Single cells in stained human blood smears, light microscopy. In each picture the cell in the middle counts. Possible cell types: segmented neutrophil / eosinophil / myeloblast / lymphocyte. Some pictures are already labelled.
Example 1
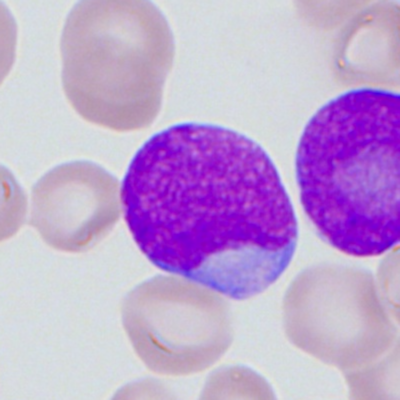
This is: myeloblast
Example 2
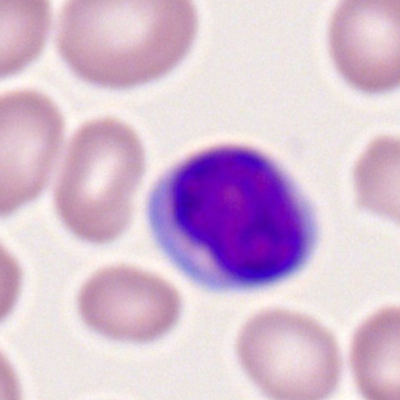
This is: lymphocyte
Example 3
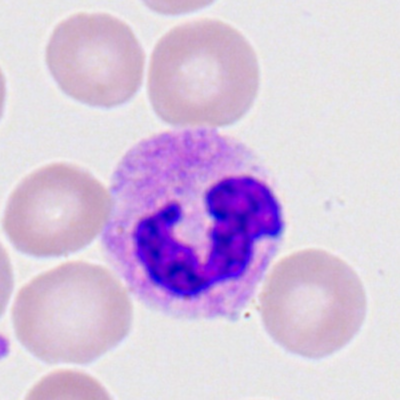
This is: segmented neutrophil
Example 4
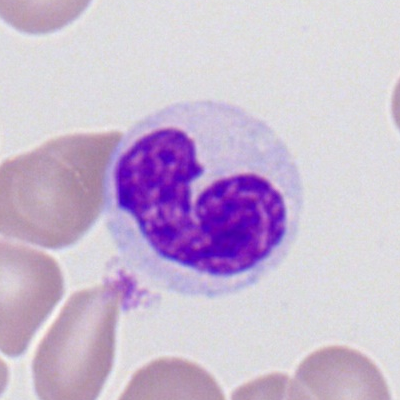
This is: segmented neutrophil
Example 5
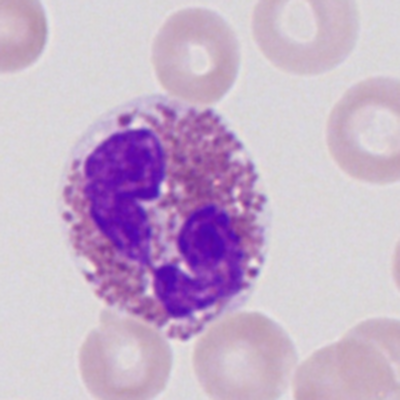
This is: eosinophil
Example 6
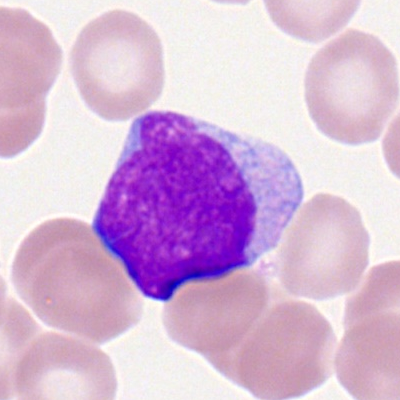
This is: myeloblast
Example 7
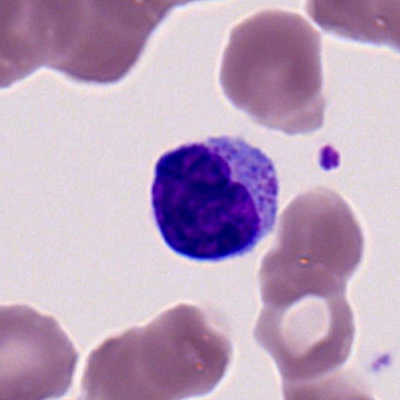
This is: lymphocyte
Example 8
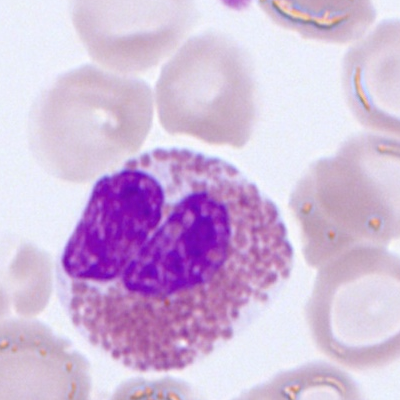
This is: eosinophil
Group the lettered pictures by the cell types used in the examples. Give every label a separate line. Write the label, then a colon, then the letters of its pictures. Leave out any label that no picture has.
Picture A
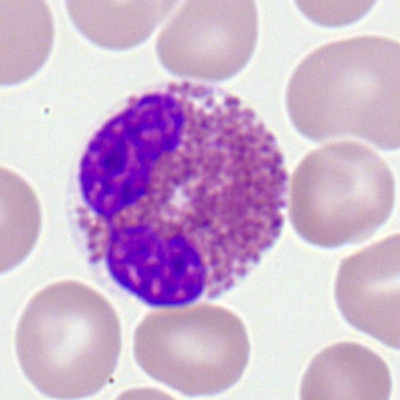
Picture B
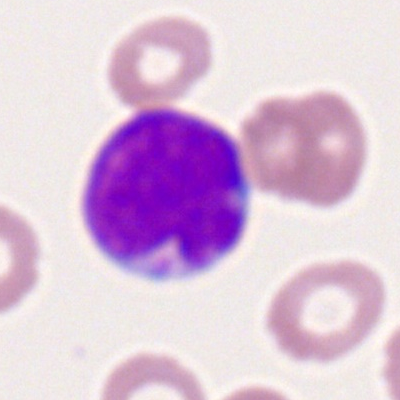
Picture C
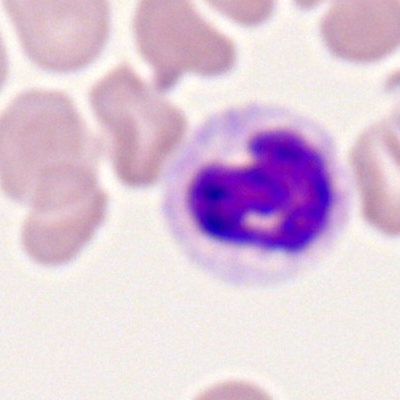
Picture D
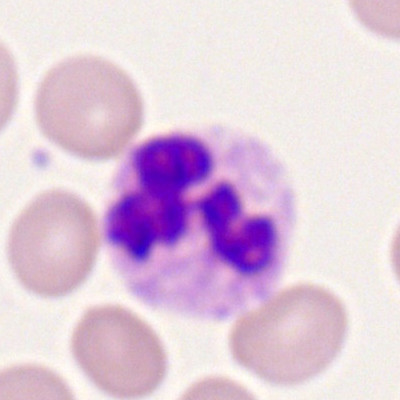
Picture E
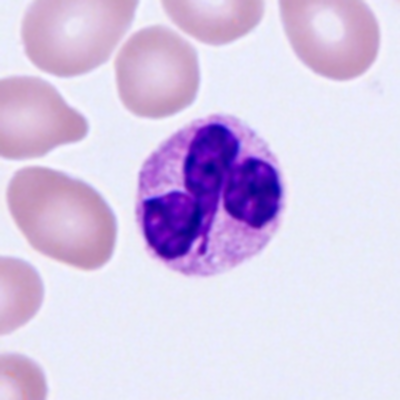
segmented neutrophil: C, D, E
eosinophil: A
myeloblast: B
